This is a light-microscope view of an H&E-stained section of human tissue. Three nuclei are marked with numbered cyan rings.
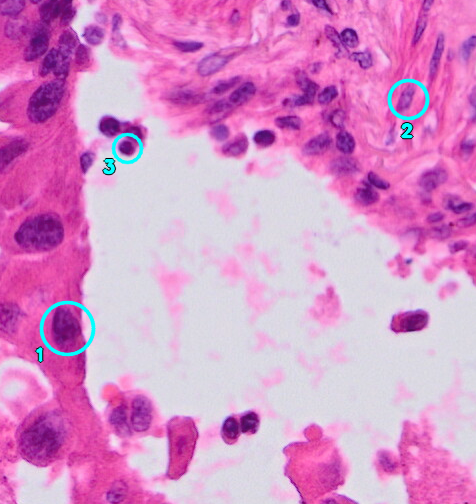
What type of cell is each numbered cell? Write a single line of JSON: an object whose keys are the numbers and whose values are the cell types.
{"1": "carcinoma cell", "2": "smooth muscle cell or pericyte", "3": "lymphocyte"}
